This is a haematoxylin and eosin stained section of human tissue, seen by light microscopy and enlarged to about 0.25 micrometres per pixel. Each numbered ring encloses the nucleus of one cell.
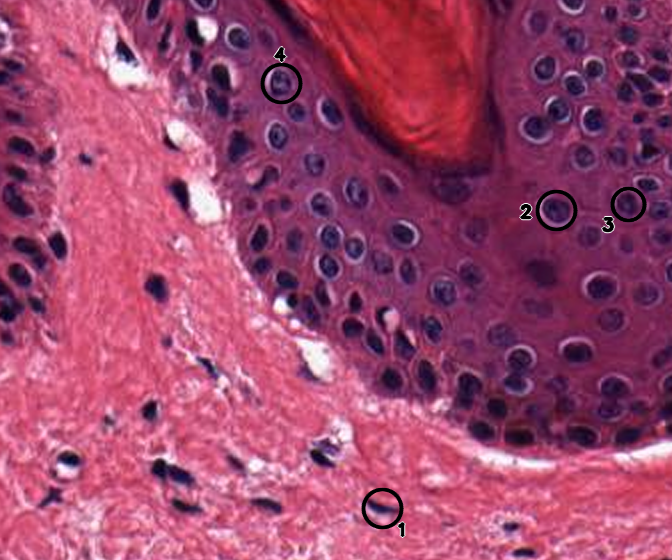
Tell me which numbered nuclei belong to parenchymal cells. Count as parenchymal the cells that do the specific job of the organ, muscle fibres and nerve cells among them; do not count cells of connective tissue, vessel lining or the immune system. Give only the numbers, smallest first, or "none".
2, 3, 4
